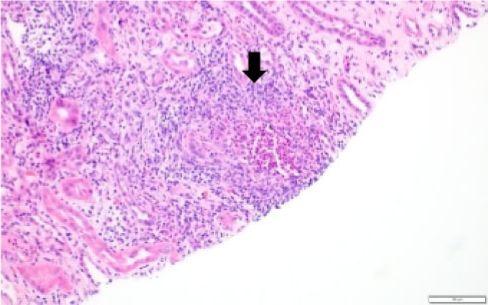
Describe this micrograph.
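Kidney tissue at the edge of a biopsy core with a non-necrotizing granuloma in the inflamed interstitium. A rounded, compact aggregate of cells with pale and dark purple nuclei lies in the center, below the arrow. It has no central pink acellular necrotic zone. A patch of red blood cells lies just below and to the right of it. Around the aggregate, dark-nucleated inflammatory cells spread through the interstitium between scattered tubules, which have pink cytoplasm. The tissue ends at a smooth border on the right, and empty background lies beyond it.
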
